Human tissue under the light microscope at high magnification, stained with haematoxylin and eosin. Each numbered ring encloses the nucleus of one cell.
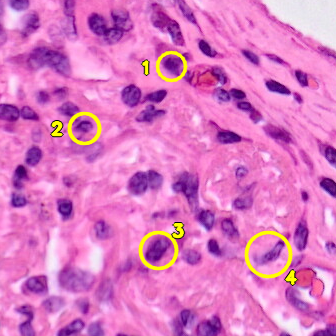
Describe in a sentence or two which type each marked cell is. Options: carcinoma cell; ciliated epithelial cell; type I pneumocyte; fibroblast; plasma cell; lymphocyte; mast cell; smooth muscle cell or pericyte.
Cell 1 is a plasma cell, cell 2 is a lymphocyte, cell 3 is a plasma cell and cell 4 is a fibroblast.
